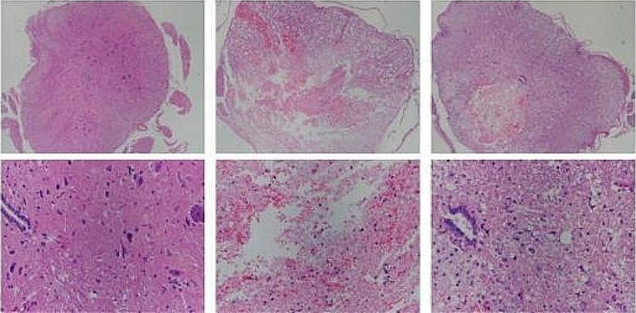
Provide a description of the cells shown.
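The leftmost section is compact and evenly pink, and at higher power shows a dense, uniform neuropil with scattered purple cell nuclei. The middle section is disrupted: the tissue is loosened and torn, with empty clefts and patches of intense red material resembling extravasated blood, and the high-power view shows fragmented tissue with gaps. The right section is more intact, with less tissue breakdown, though it still shows paler areas and loosened texture, with scattered nuclei and a small vessel visible at higher power.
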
